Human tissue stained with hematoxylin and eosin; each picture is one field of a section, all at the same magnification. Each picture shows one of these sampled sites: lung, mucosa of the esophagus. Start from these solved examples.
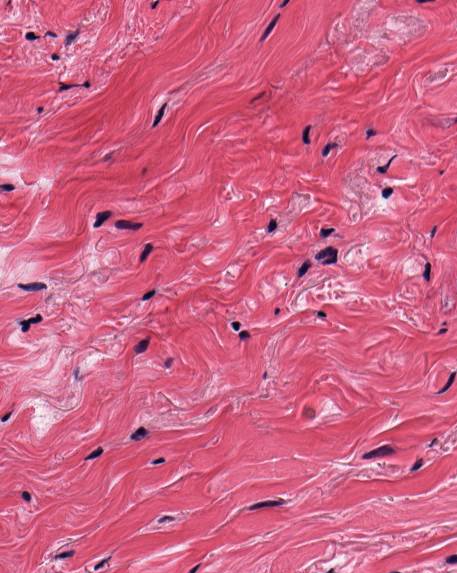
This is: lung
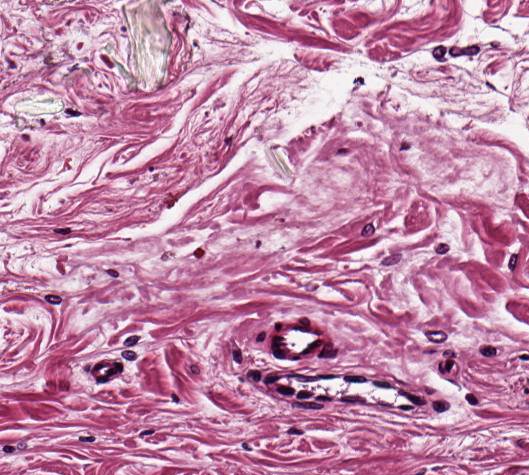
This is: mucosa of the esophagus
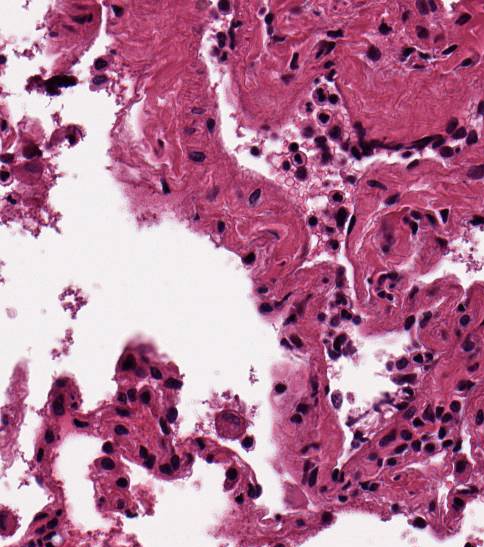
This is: lung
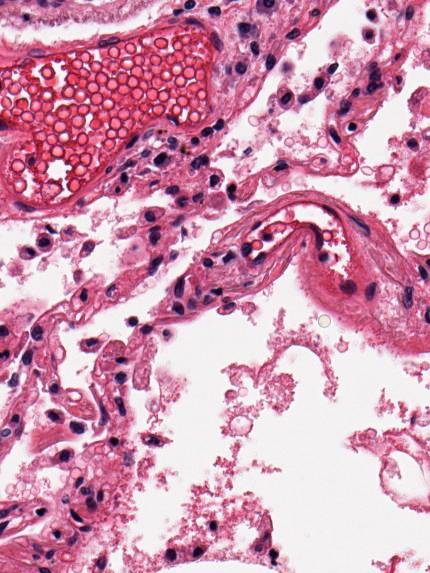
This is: lung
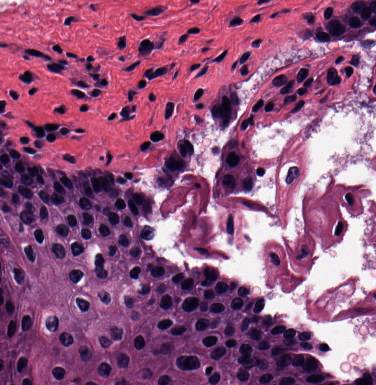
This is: mucosa of the esophagus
